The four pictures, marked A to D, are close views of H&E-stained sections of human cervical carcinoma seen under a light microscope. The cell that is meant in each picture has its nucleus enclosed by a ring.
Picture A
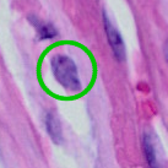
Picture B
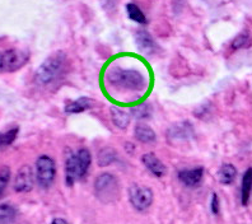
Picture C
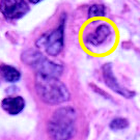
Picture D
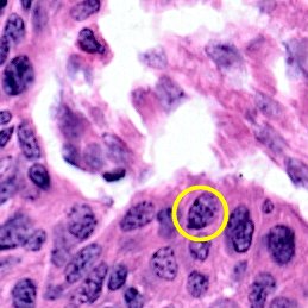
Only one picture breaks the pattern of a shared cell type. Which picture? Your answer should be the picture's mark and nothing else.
D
